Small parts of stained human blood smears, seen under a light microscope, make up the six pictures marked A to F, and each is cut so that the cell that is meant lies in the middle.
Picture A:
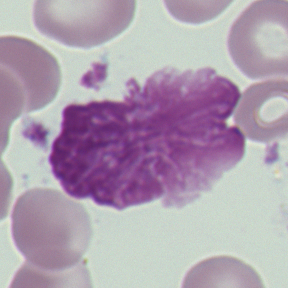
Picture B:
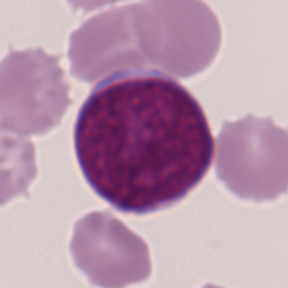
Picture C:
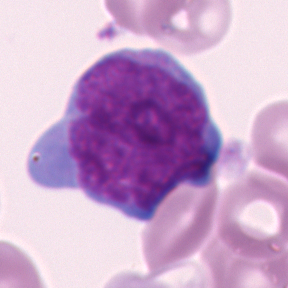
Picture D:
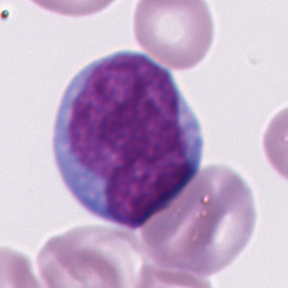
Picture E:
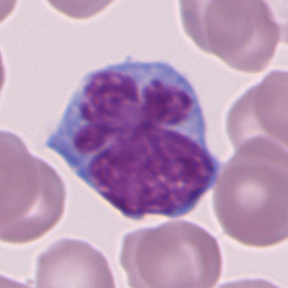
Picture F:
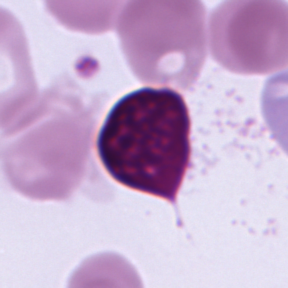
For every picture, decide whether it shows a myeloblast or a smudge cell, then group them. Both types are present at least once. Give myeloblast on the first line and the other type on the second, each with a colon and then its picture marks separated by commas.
myeloblast: B, C, D, E
smudge cell: A, F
